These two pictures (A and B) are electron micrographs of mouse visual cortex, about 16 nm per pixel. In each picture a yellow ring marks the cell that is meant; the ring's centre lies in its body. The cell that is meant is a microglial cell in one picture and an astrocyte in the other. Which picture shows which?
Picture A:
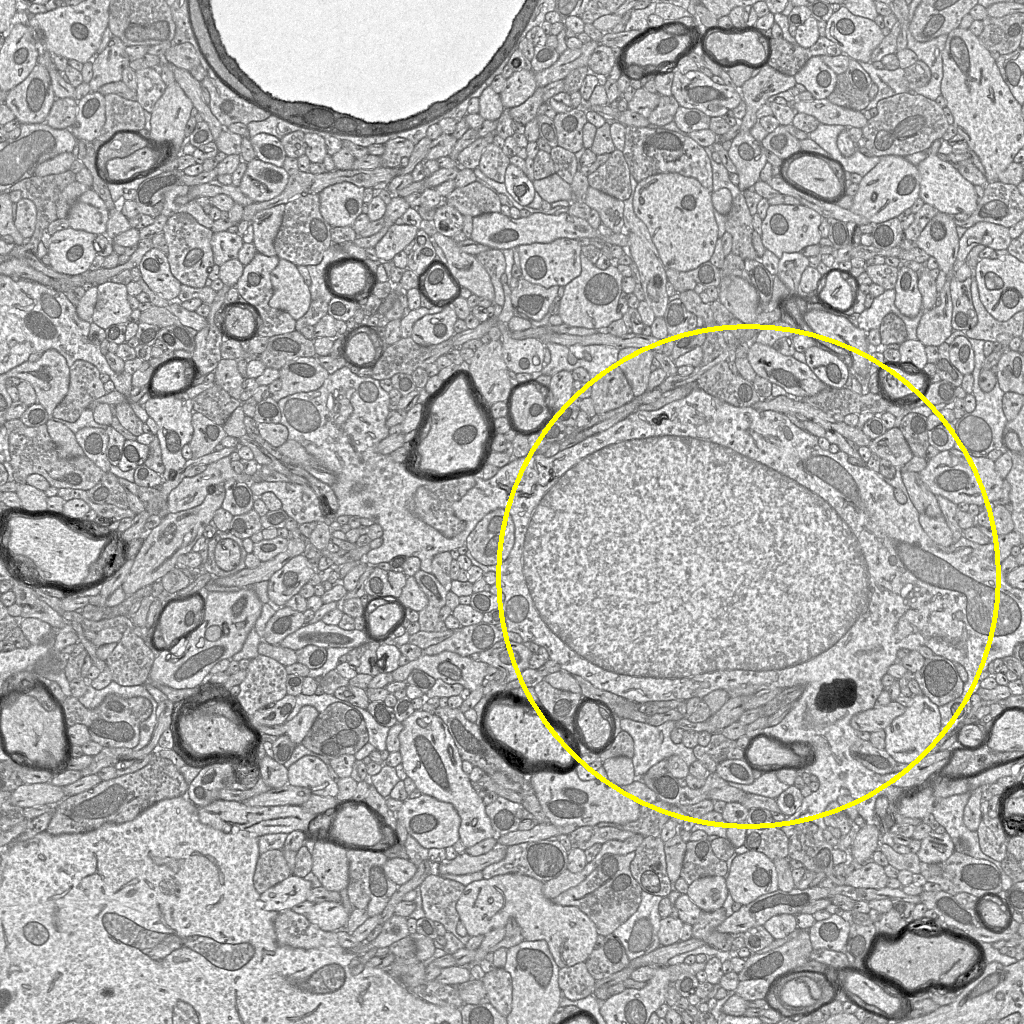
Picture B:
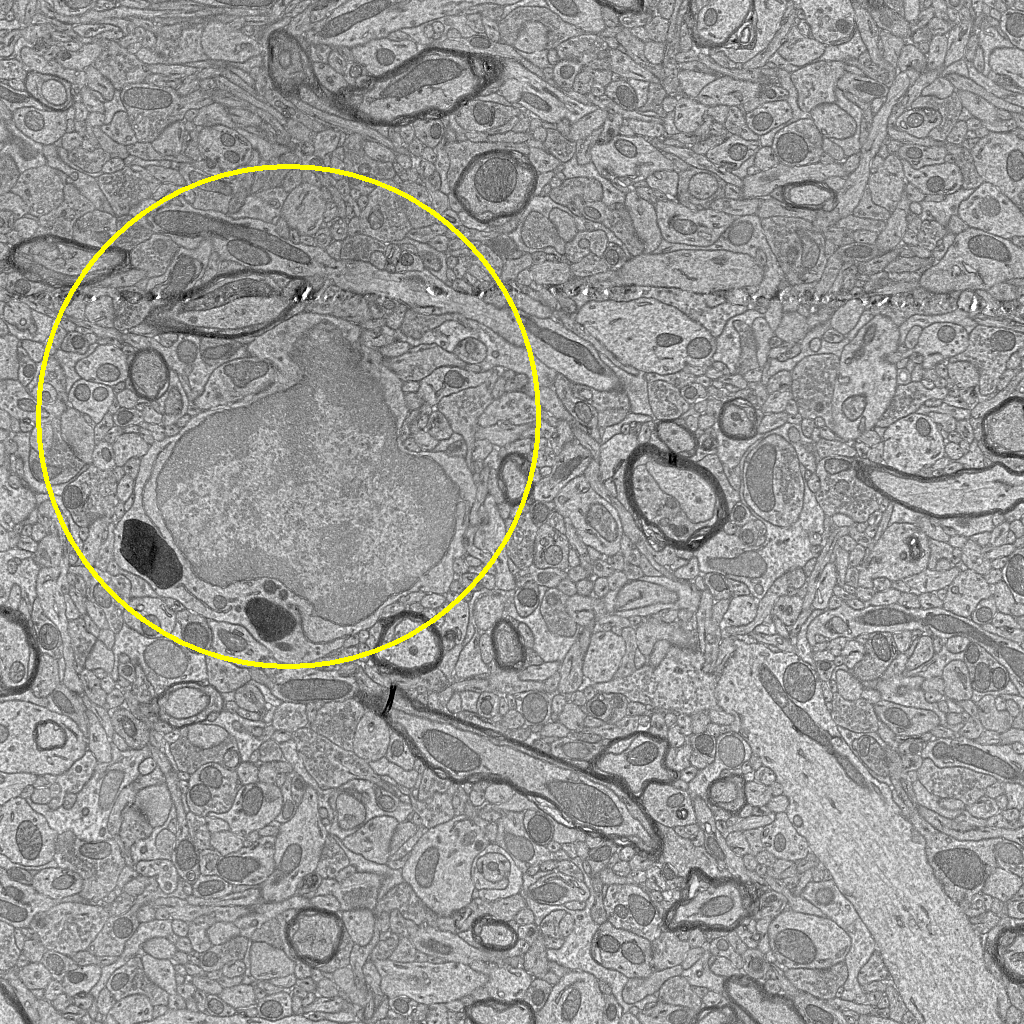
The cell in picture A is an astrocyte, and the one in picture B is a microglial cell.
